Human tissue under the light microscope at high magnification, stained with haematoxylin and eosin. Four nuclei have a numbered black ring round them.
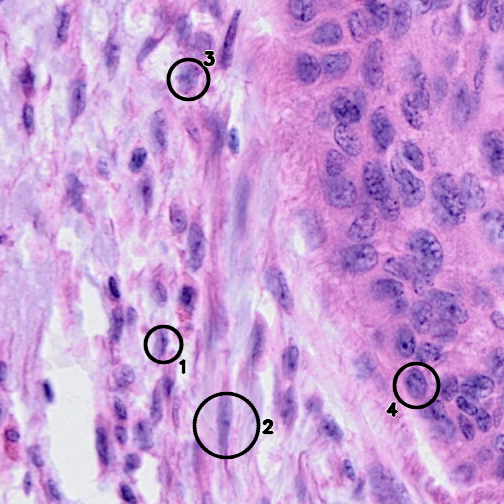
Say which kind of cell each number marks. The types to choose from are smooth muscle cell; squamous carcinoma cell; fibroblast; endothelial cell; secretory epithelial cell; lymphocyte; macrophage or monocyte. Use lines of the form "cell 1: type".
cell 1: fibroblast
cell 2: fibroblast
cell 3: fibroblast
cell 4: squamous carcinoma cell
